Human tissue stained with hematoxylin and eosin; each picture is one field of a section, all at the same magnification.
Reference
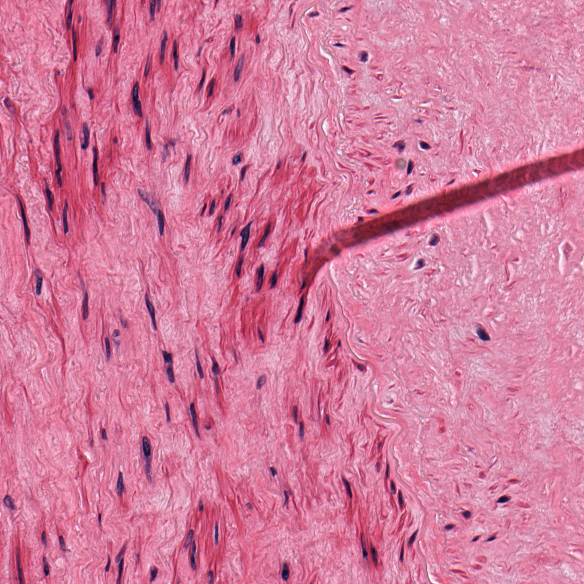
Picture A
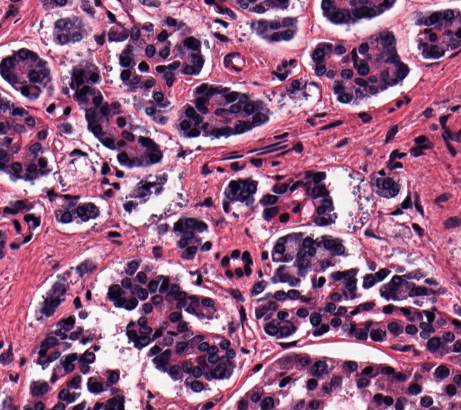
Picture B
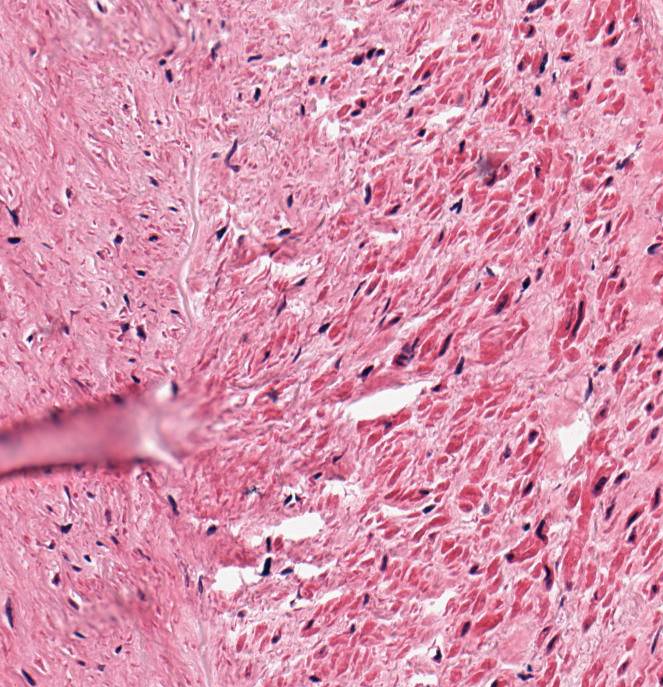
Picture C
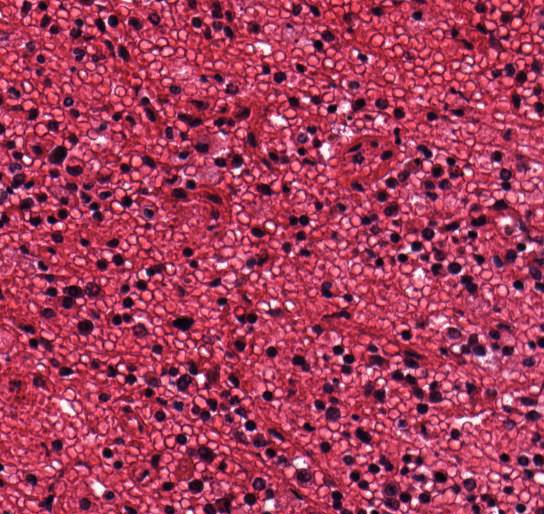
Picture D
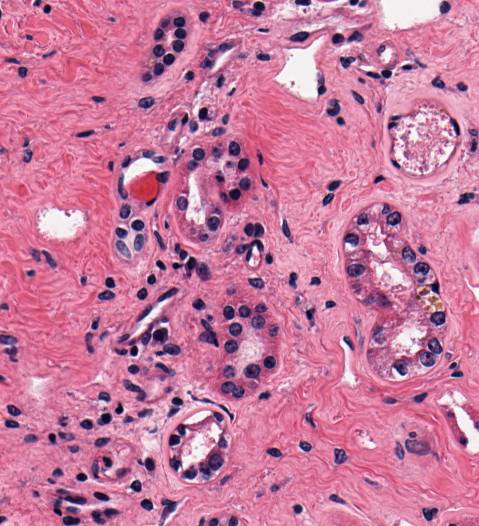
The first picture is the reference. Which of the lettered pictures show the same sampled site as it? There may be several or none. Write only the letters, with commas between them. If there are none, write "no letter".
no letter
